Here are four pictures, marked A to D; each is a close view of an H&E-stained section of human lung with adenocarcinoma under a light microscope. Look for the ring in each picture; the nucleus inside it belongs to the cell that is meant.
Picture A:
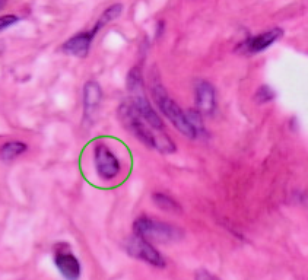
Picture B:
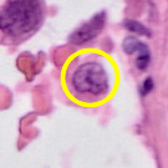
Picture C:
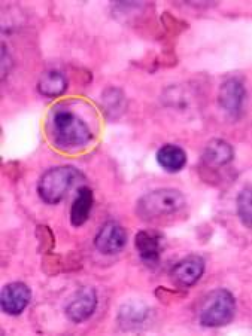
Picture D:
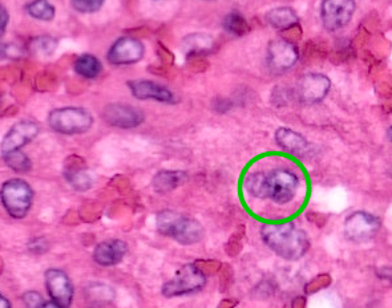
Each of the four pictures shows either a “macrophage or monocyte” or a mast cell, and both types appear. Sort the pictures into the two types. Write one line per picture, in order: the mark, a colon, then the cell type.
A: mast cell
B: macrophage or monocyte
C: macrophage or monocyte
D: macrophage or monocyte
